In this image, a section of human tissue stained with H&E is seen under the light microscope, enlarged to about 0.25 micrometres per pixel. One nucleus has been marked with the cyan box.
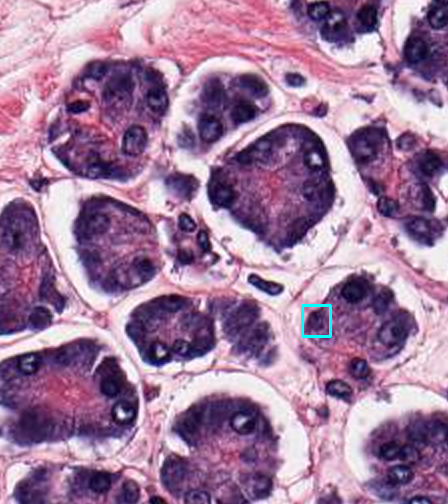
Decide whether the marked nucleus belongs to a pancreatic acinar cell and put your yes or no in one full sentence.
Yes, a pancreatic acinar cell holds the marked nucleus.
